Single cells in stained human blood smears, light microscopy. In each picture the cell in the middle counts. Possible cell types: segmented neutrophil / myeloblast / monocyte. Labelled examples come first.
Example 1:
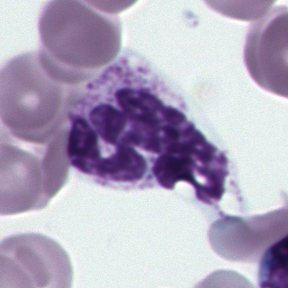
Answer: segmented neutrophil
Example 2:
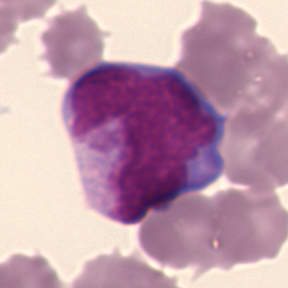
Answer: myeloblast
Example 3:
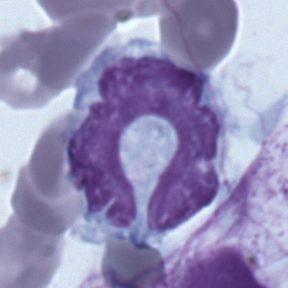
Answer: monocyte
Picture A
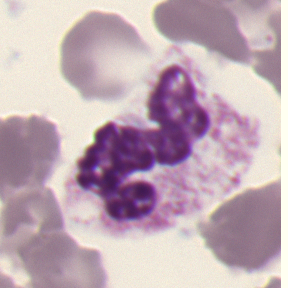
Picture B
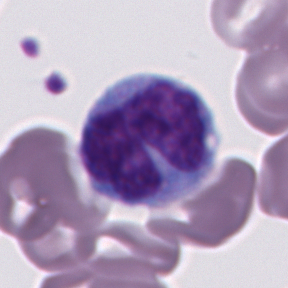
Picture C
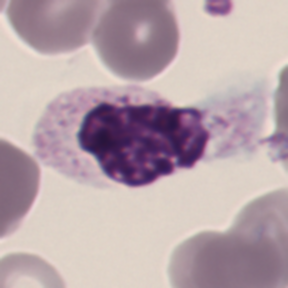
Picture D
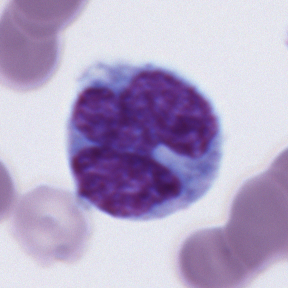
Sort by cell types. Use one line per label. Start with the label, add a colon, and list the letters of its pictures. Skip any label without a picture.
segmented neutrophil: A, C
monocyte: B, D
